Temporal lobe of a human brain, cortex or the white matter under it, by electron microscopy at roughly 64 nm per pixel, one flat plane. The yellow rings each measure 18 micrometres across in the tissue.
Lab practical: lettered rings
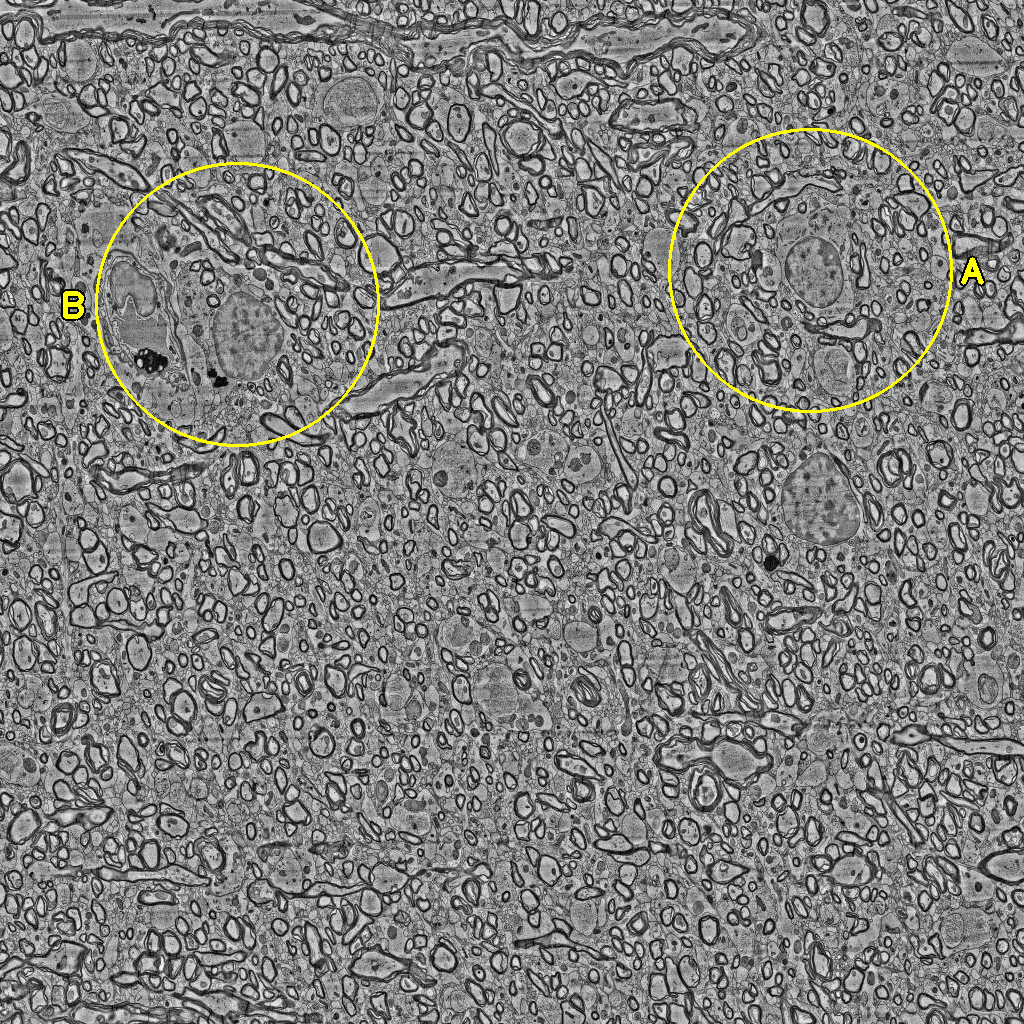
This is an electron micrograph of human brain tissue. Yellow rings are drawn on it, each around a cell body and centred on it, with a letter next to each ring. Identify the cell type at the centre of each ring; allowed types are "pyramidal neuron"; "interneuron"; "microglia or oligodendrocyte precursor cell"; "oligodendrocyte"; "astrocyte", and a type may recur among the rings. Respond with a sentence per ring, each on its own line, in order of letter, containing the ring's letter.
Lying at the centre of ring A is a microglial cell or oligodendrocyte precursor cell.
Lying at the centre of ring B is an oligodendrocyte.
